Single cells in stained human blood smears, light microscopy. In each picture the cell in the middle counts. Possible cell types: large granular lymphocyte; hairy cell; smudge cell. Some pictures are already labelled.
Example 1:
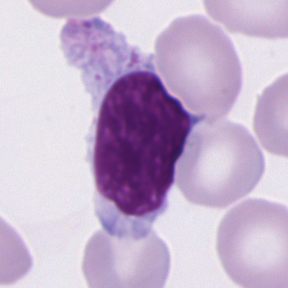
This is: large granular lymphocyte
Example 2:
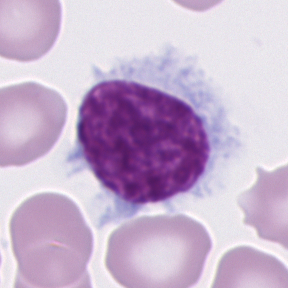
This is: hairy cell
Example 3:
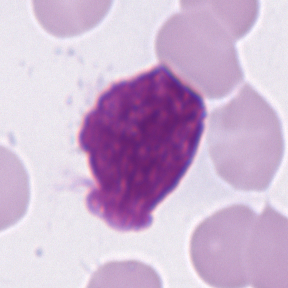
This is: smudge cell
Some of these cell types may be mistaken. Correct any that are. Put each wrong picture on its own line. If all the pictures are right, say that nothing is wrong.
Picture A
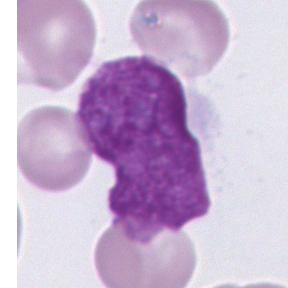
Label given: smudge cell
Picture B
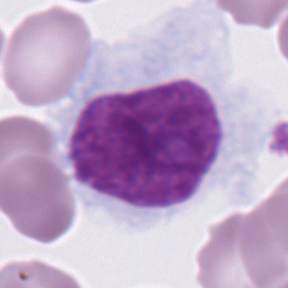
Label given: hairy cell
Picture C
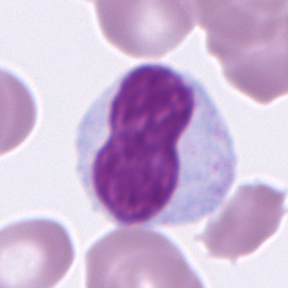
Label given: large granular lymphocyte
Every label is right.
